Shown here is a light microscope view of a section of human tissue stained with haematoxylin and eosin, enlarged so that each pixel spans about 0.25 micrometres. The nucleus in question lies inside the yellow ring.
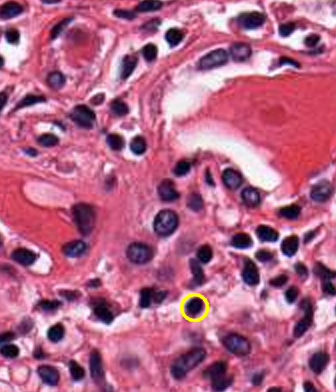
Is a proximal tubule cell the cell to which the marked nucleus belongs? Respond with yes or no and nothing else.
no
